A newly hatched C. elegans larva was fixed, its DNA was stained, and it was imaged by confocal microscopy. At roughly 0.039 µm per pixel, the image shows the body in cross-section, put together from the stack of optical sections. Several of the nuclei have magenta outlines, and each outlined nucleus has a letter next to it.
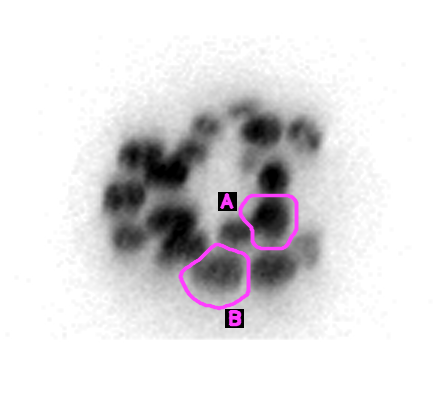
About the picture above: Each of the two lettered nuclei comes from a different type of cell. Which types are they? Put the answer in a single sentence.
A is from a GLR cell, and B is from a neuron.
